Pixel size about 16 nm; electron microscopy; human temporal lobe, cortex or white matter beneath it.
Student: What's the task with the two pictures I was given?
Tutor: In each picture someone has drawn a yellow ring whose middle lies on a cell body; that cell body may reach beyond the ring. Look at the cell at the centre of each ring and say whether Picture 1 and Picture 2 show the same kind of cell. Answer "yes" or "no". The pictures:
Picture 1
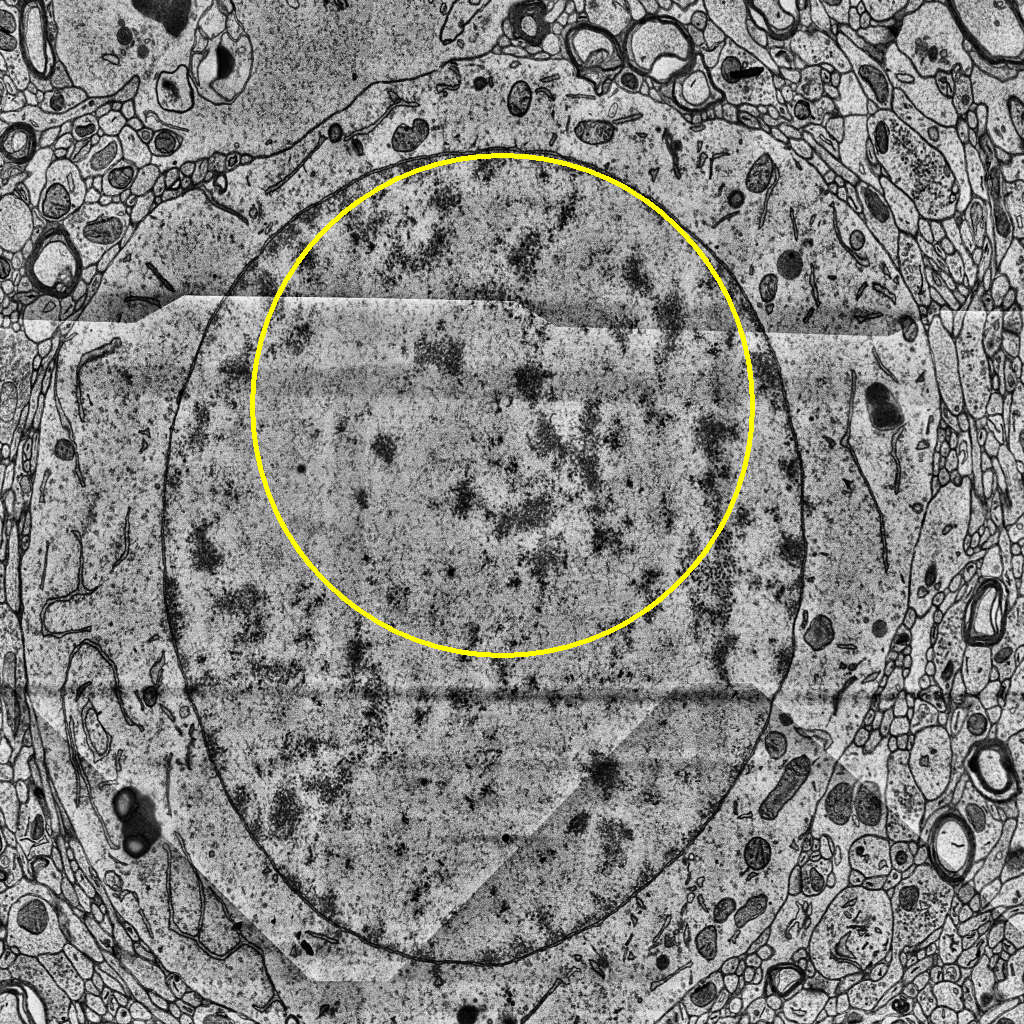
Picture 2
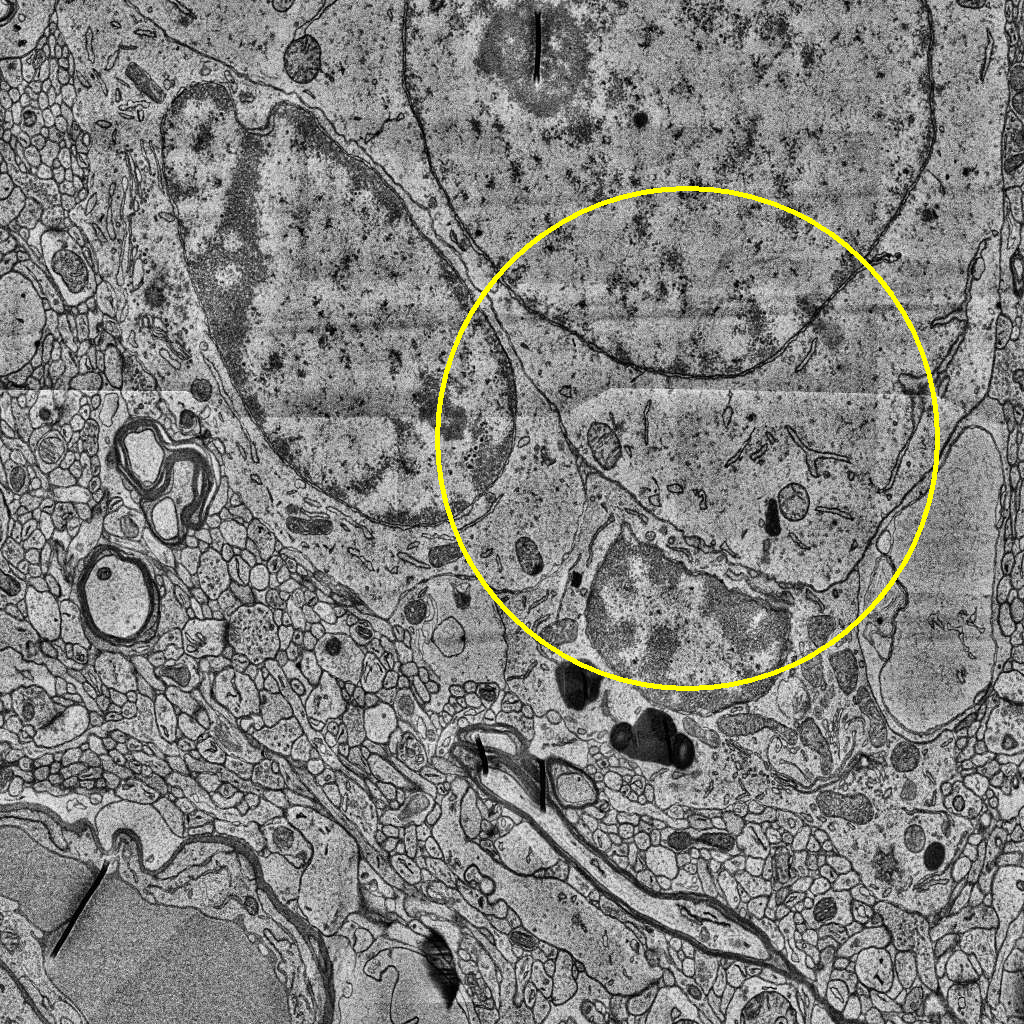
no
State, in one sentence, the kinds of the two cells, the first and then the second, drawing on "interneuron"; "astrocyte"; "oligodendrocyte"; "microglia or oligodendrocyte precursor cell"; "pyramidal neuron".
Of the two, the first cell is a pyramidal neuron and the second cell is a microglial cell or oligodendrocyte precursor cell.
